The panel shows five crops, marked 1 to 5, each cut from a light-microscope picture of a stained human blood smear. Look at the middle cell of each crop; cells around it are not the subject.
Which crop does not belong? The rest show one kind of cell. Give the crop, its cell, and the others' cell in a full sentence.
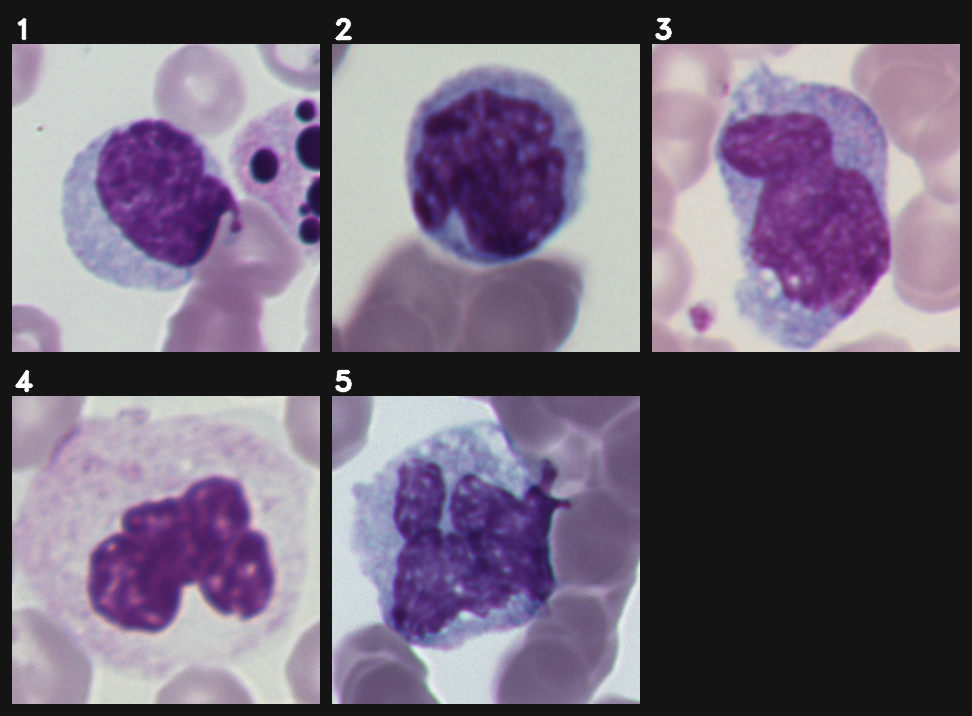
The crop that differs is 4, which is a segmented neutrophil; the rest are monocytes.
